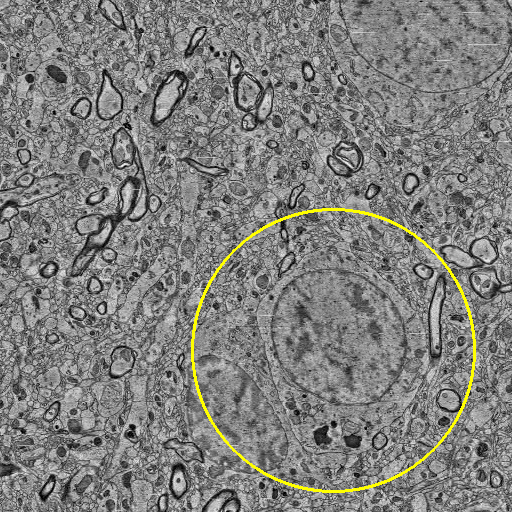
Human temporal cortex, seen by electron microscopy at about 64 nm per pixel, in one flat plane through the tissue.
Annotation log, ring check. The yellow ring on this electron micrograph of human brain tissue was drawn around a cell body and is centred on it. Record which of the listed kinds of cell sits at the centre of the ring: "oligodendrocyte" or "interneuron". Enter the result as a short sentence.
The cell at the centre of the ring is an interneuron.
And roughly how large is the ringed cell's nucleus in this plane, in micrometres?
Roughly 10 micrometres by 8 micrometres, in this plane.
